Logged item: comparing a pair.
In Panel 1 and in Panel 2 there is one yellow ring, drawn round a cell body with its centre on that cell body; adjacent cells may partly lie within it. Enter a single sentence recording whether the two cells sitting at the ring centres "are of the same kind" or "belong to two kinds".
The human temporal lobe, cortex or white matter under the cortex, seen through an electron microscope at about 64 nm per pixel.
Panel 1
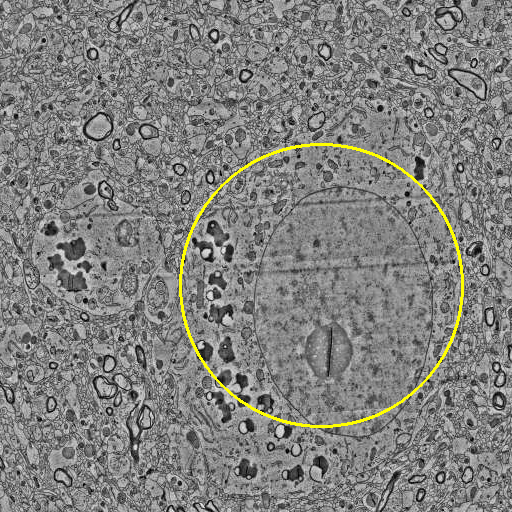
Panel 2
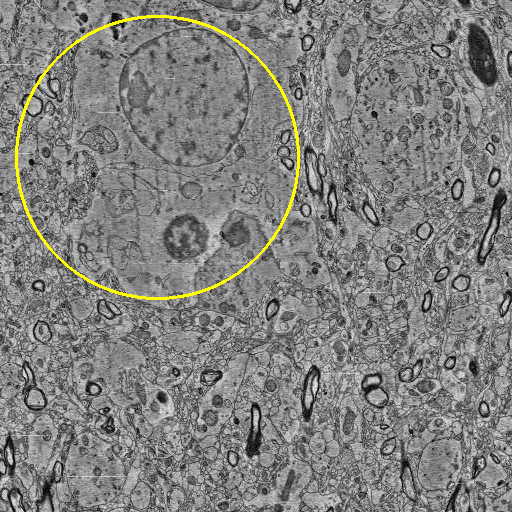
Logged: the cells centred in the rings of Panel 1 and Panel 2 belong to two kinds.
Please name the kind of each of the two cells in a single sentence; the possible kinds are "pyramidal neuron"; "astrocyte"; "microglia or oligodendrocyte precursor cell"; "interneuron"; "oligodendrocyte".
In the first picture the ring is centred on a pyramidal neuron, and in the second on an astrocyte.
